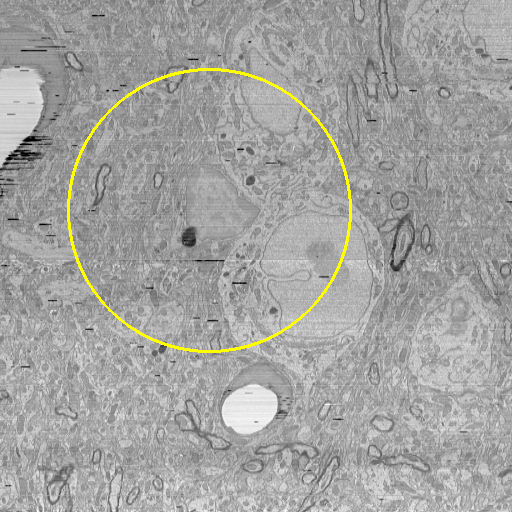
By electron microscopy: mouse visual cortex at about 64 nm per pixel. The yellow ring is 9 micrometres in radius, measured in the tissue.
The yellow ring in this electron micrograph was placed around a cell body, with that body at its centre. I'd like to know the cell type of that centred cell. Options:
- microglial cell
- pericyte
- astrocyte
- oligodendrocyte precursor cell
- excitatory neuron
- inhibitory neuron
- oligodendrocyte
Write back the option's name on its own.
microglial cell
